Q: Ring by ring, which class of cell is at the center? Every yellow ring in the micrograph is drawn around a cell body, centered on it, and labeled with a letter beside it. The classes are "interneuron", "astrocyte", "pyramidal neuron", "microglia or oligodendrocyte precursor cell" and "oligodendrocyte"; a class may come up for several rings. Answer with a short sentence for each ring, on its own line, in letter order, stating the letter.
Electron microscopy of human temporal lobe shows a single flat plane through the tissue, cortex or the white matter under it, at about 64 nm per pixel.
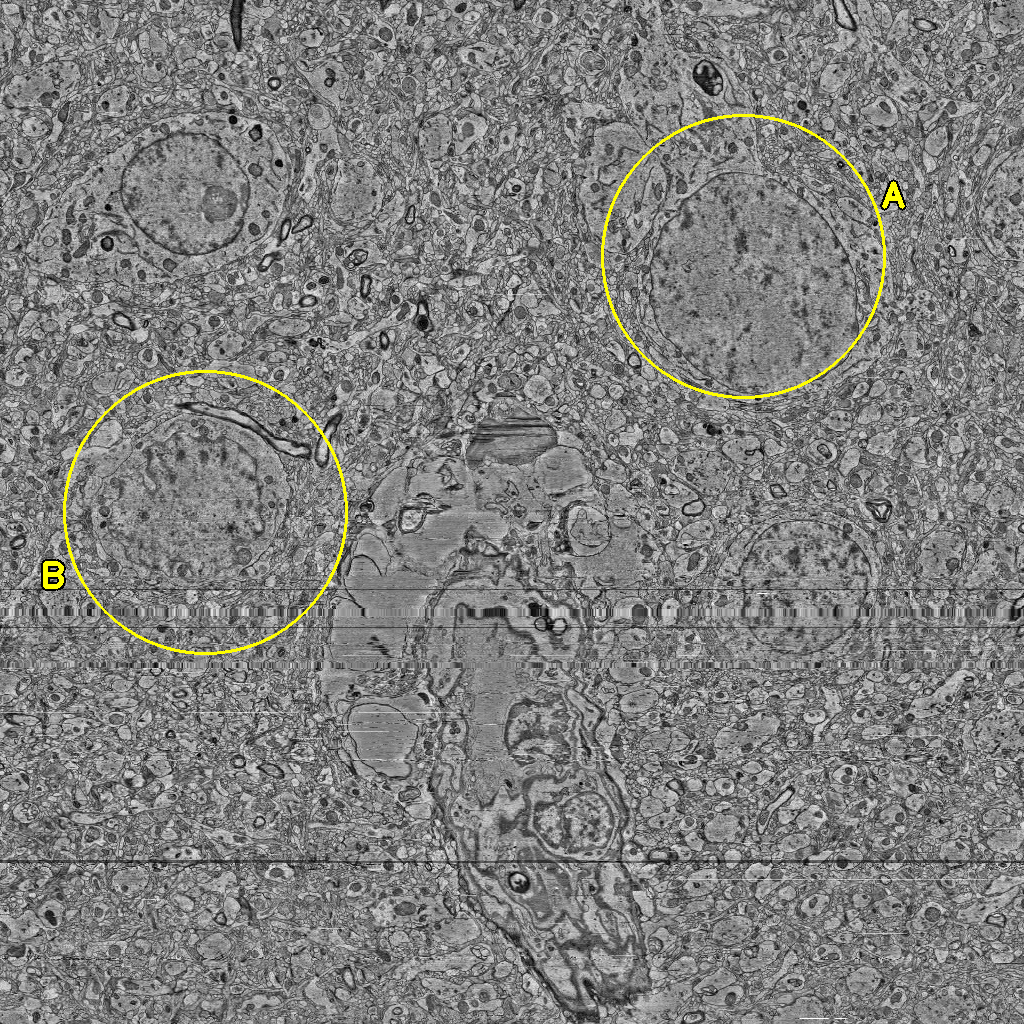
Ring A holds a pyramidal neuron at its center.
Ring B holds an interneuron at its center.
